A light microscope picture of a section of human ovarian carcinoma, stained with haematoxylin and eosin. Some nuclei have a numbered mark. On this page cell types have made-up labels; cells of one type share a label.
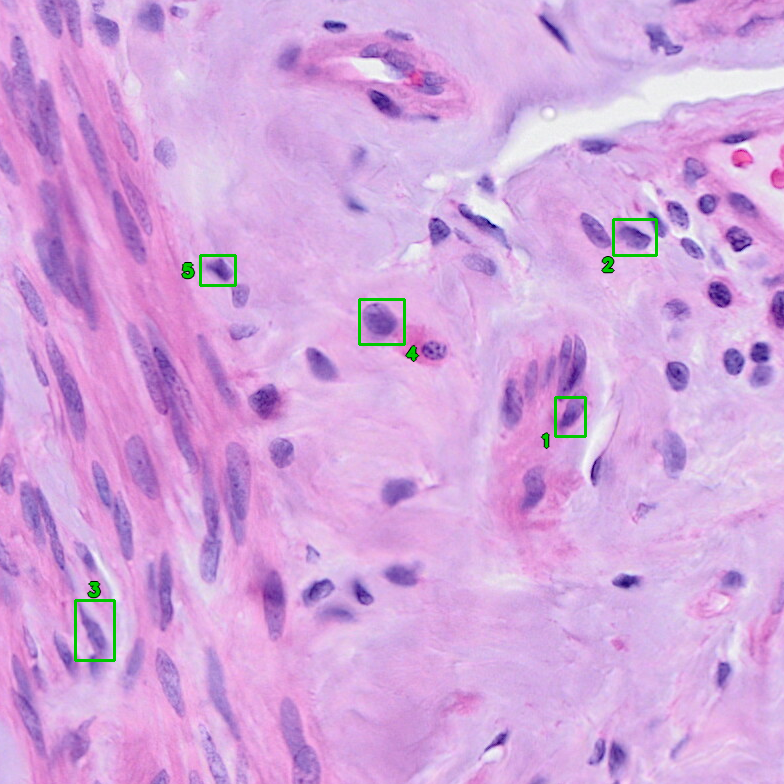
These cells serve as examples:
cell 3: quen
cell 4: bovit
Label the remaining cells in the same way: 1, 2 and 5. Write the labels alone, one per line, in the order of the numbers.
quen
bovit
bovit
